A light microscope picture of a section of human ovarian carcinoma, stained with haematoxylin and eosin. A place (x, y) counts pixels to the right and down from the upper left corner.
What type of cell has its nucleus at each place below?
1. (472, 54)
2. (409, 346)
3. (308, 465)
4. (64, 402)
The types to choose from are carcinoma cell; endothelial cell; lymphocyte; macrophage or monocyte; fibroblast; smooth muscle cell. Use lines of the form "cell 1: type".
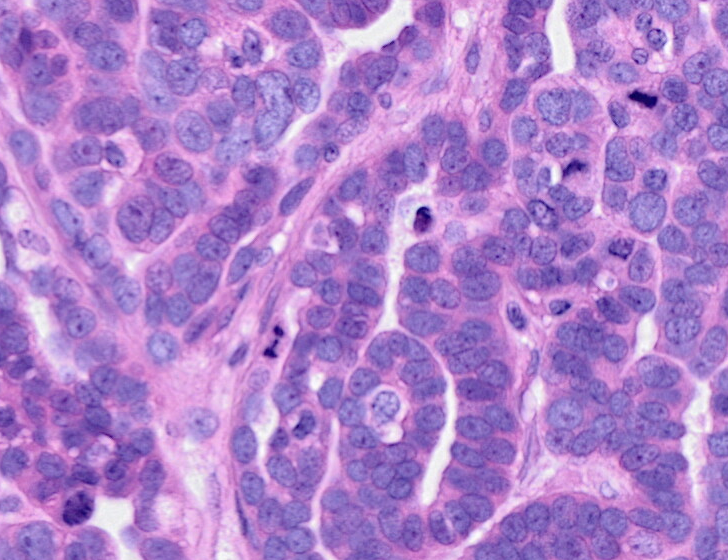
cell 1: fibroblast
cell 2: carcinoma cell
cell 3: carcinoma cell
cell 4: carcinoma cell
